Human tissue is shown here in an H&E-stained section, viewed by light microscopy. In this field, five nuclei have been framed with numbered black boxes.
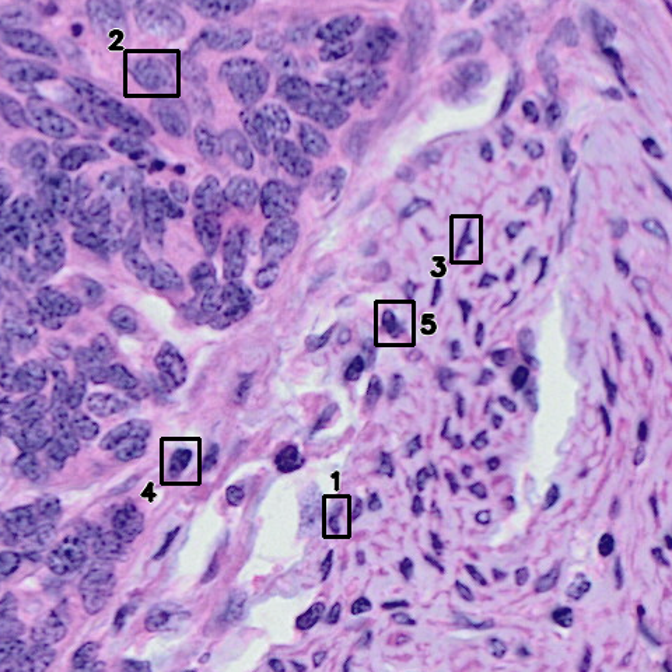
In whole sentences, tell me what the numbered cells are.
Cell 1 is a fibroblast. Cell 2 is a squamous carcinoma cell. Cell 3 is a smooth muscle cell. Cells 4 and 5 are lymphocytes.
